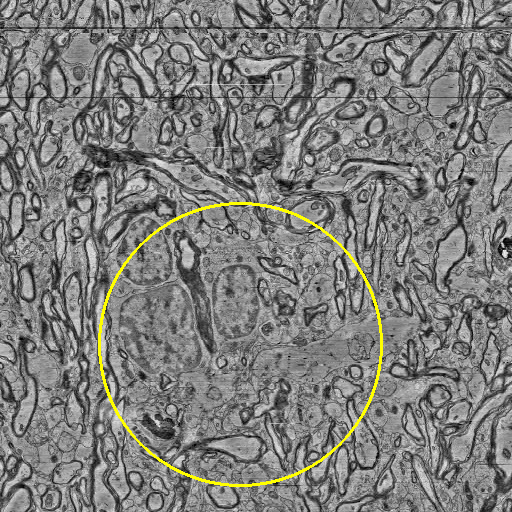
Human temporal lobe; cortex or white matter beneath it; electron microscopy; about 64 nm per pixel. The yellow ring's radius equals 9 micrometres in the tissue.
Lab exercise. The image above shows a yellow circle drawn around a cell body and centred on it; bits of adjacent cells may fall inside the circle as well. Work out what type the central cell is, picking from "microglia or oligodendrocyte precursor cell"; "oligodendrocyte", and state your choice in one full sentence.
In the image above, the cell at the centre of the yellow circle is an oligodendrocyte.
